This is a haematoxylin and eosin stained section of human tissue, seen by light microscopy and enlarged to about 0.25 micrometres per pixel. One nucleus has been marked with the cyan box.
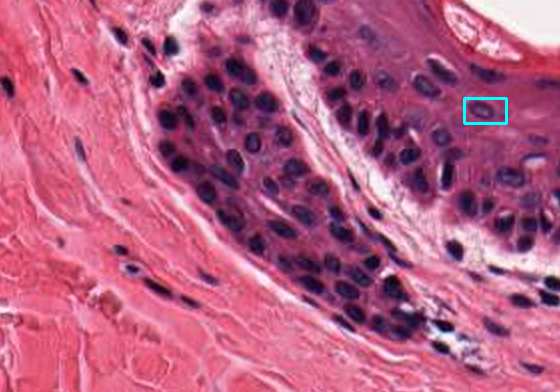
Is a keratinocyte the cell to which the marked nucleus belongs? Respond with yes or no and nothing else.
yes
